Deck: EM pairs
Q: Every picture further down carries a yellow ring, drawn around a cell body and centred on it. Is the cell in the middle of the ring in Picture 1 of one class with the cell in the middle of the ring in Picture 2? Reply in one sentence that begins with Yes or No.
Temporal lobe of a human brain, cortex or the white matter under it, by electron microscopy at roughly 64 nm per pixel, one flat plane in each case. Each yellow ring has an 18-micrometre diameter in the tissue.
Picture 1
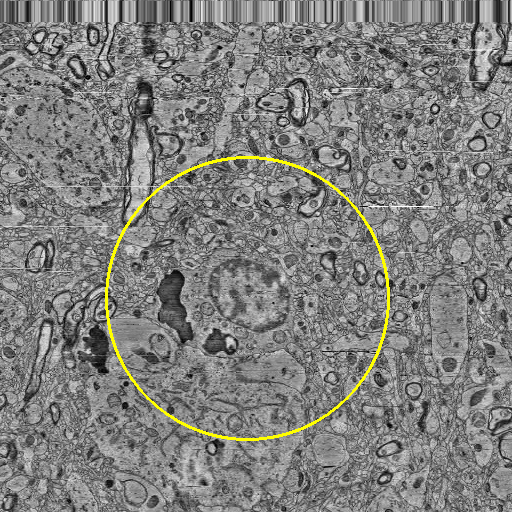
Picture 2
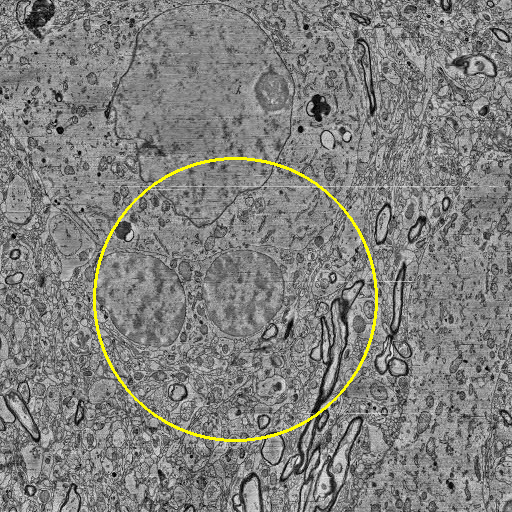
Yes, the cell centred in the ring of Picture 1 and the one in Picture 2 belong to one class.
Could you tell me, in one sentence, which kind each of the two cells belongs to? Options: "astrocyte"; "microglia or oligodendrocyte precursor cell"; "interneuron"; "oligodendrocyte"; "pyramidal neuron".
Both cells are the same kind, each one being an oligodendrocyte.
